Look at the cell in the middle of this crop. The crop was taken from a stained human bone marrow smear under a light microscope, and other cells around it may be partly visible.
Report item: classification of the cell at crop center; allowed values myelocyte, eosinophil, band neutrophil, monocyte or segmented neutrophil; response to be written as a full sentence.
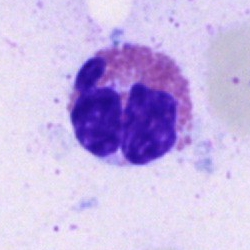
Here the cell in the middle is an eosinophil.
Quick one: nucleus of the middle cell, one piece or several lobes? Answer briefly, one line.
You can count two or more lobes in this nucleus.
